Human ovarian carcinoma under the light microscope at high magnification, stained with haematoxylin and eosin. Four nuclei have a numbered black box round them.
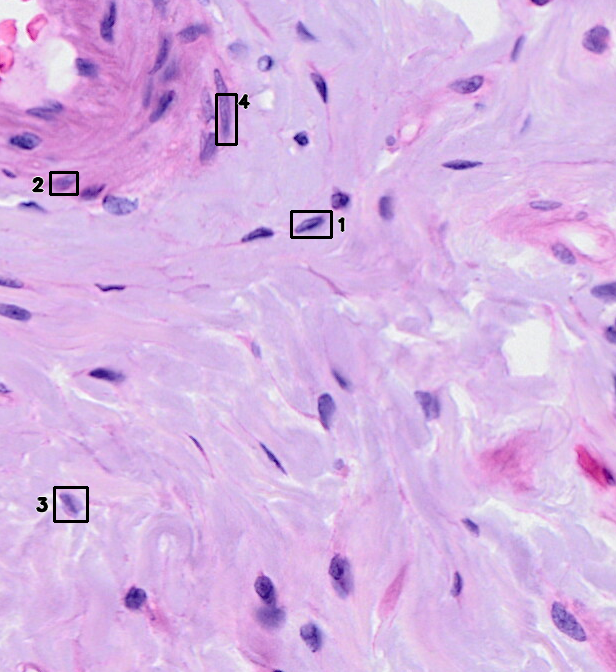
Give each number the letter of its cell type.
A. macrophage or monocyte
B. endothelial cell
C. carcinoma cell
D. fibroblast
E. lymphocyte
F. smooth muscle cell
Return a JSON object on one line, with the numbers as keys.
{"1": "D", "2": "F", "3": "D", "4": "F"}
